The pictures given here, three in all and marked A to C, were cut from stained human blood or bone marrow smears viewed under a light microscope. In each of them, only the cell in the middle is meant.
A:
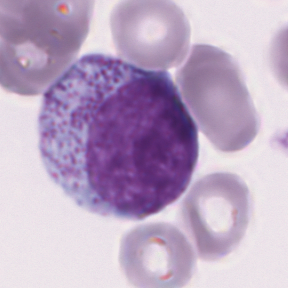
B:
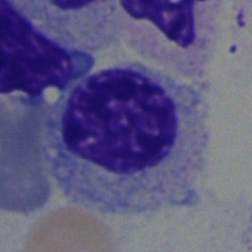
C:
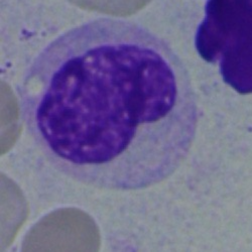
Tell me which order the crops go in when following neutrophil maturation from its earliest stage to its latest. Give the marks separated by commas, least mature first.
A, B, C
